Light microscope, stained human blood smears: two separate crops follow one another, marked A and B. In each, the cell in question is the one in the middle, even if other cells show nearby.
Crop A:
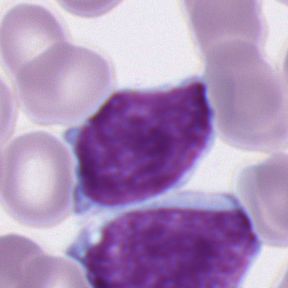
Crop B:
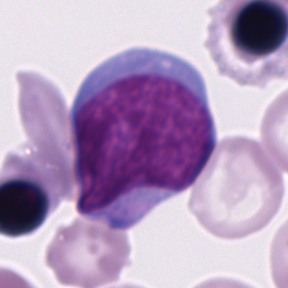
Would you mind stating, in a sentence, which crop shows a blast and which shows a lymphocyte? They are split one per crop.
In crop A, a lymphocyte is present; in crop B, a blast is present.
